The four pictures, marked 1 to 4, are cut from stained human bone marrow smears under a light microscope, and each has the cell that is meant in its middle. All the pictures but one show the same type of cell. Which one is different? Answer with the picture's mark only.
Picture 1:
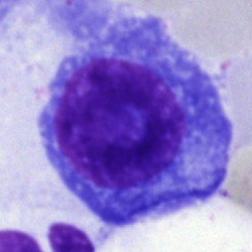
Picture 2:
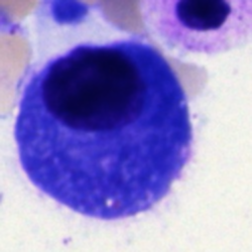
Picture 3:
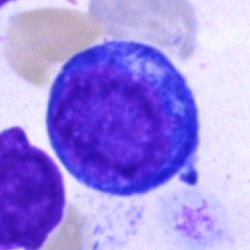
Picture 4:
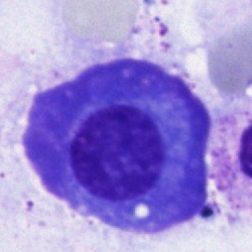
3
